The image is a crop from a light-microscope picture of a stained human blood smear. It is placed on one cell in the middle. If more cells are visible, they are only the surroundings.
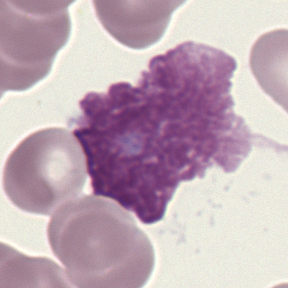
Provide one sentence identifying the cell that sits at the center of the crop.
By type, the central cell of the crop is a smudge cell.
